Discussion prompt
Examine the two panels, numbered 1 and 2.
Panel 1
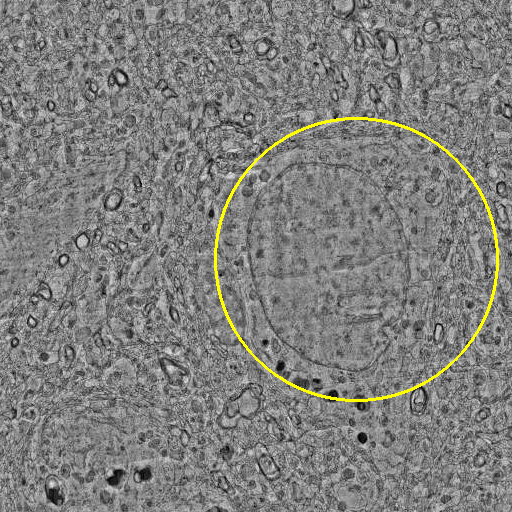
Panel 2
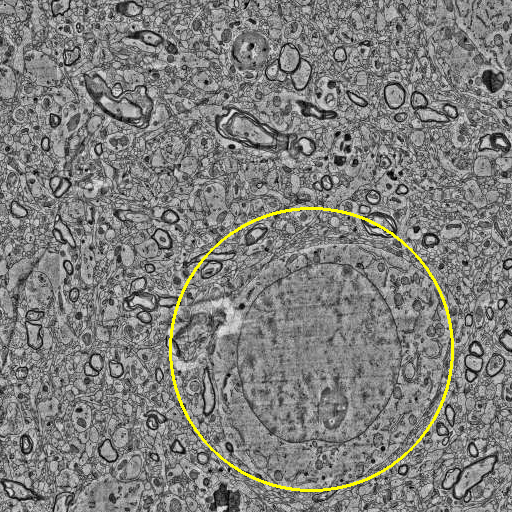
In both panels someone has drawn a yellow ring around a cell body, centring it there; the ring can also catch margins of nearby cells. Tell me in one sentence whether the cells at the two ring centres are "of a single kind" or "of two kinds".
Taken together, the two cells centred in the rings of Panels 1 and 2 are of a single kind.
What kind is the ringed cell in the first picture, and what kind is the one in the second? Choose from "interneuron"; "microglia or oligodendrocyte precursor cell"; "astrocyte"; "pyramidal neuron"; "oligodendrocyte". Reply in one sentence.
Each of the two cells is a pyramidal neuron.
